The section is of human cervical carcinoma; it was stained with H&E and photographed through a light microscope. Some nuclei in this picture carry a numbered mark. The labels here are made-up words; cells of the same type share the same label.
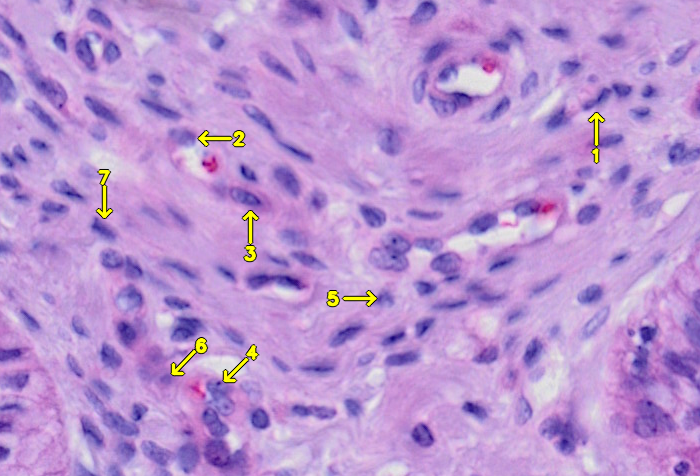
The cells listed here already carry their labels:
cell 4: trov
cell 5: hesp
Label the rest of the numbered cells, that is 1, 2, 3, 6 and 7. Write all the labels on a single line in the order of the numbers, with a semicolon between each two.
hesp; trov; trov; trov; hesp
